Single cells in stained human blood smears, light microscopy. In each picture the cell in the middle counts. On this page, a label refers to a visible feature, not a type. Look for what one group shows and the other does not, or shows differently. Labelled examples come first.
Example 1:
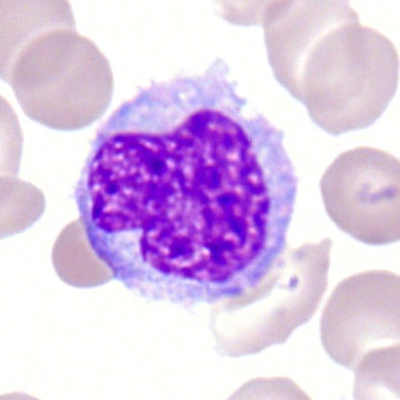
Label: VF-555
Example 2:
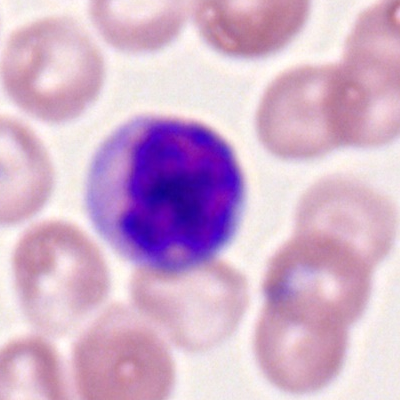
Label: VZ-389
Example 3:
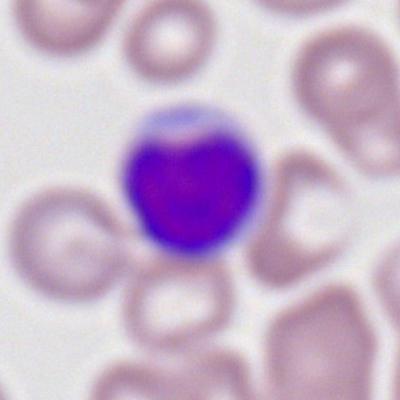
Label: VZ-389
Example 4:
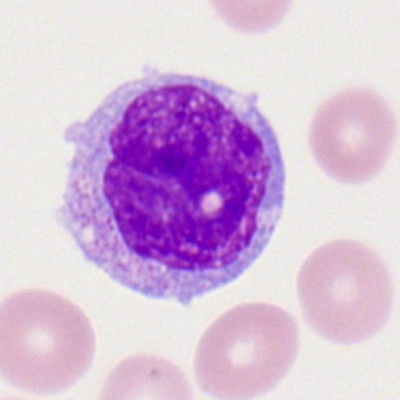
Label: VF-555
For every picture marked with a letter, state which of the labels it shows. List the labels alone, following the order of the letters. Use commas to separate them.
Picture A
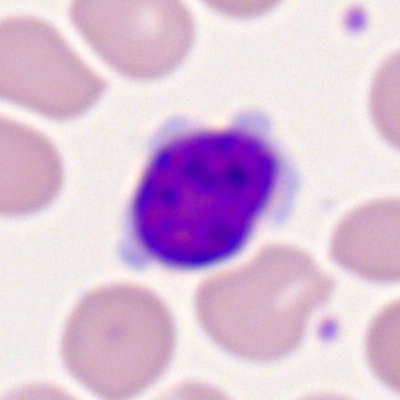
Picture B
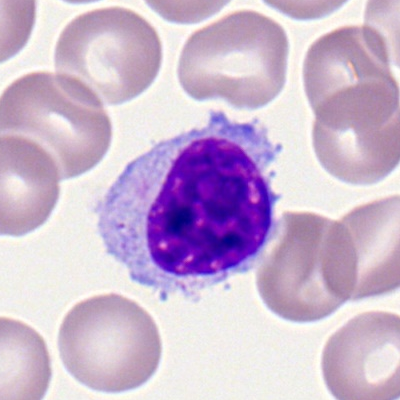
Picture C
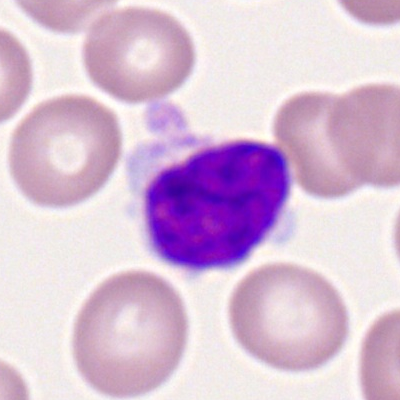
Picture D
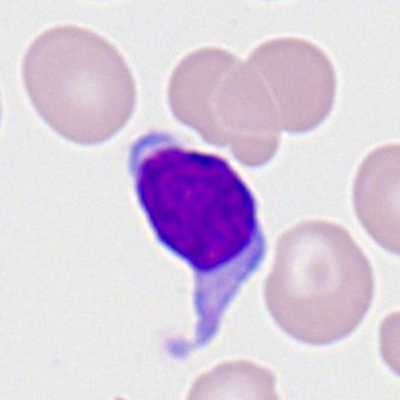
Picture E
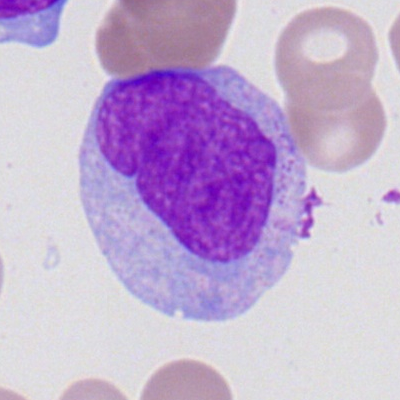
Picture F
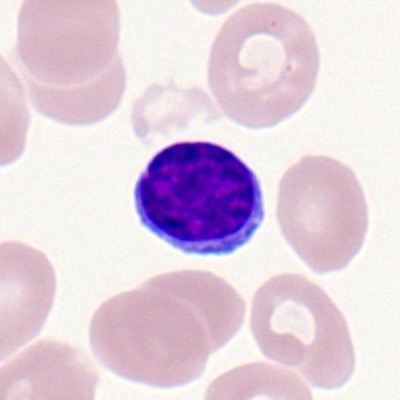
VF-555, VF-555, VF-555, VF-555, VZ-389, VZ-389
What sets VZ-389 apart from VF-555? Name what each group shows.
In VZ-389: smooth outline. In VF-555: ragged outline or projections.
